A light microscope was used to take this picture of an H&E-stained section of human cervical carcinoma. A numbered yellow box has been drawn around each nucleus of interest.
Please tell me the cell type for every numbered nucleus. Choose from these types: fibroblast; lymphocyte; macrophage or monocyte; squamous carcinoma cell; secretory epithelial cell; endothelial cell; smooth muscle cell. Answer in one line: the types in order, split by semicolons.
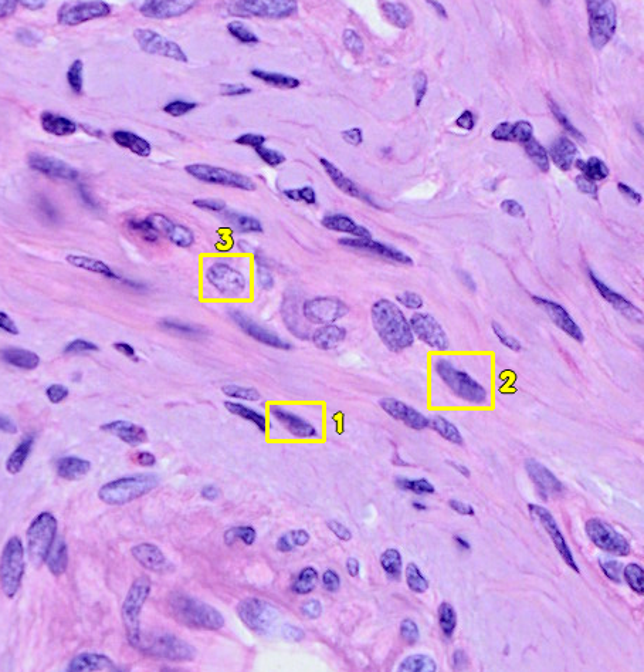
fibroblast; fibroblast; endothelial cell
